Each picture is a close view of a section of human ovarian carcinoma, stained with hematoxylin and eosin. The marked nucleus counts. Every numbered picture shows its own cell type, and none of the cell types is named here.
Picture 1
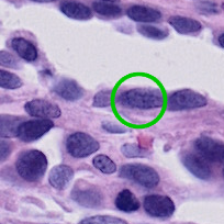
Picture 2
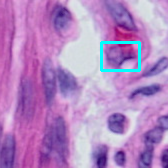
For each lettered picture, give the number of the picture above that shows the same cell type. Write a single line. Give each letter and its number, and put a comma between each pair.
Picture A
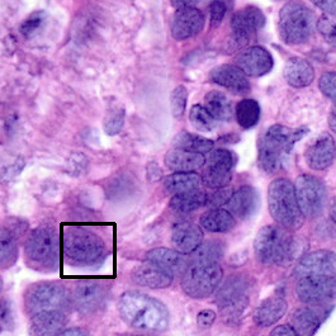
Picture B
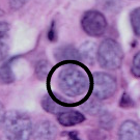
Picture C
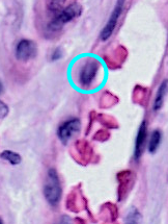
A 1, B 1, C 2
